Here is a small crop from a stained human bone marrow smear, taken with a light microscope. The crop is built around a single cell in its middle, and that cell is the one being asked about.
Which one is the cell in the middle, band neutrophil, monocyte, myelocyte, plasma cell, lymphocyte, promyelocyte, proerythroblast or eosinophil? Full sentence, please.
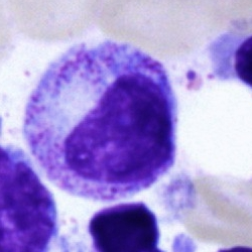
The cell occupying the middle of the crop is a myelocyte.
